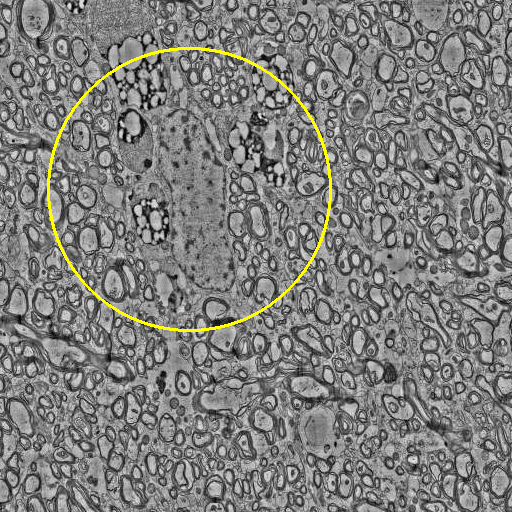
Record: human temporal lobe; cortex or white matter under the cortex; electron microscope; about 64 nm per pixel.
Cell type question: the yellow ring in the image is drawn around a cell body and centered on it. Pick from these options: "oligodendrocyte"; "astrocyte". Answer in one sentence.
The ringed cell at the center is an astrocyte.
